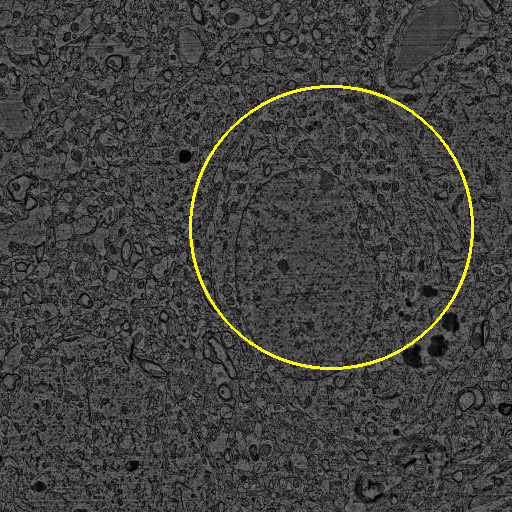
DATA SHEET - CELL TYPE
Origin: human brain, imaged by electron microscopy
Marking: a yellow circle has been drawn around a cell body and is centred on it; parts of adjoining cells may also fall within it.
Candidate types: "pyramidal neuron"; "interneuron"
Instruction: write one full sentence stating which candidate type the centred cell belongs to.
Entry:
The cell body at the centre of the yellow ring in this micrograph belongs to an interneuron.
